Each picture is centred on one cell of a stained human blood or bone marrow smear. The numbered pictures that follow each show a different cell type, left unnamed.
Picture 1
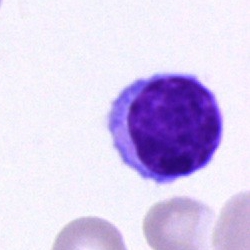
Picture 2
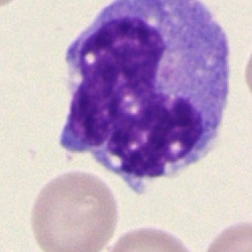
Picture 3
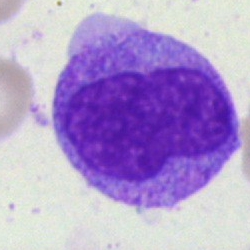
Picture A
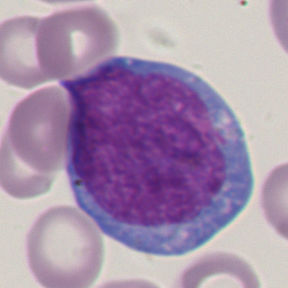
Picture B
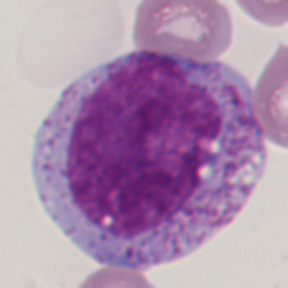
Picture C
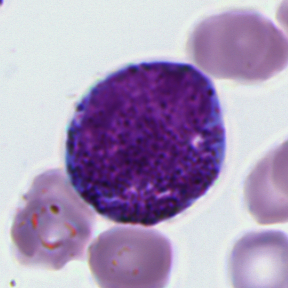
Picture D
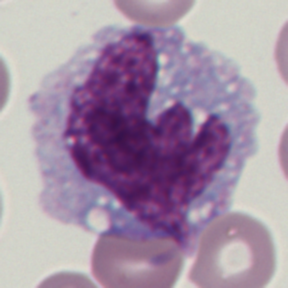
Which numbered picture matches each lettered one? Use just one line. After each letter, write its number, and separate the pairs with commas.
A 3, B 3, C 3, D 2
